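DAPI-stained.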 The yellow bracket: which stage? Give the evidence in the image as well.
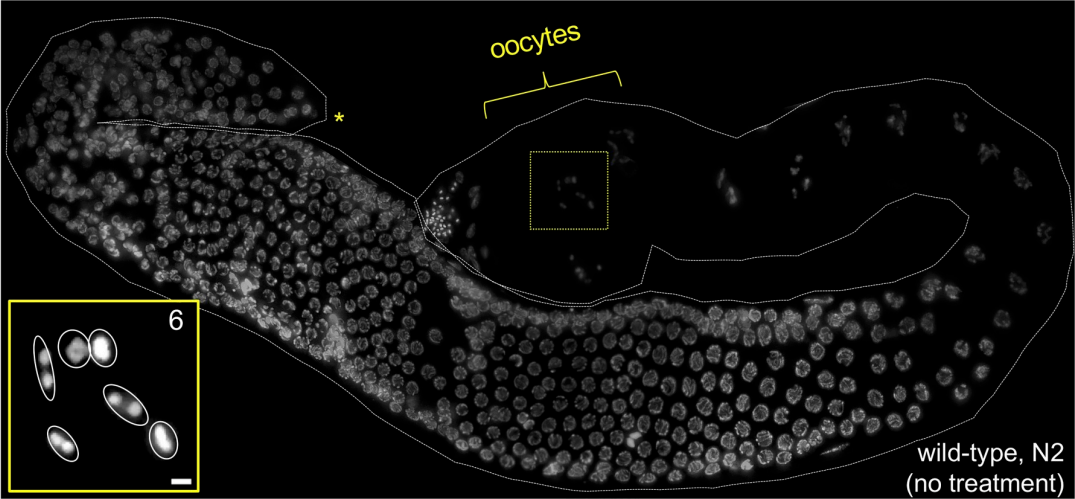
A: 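Late-diakinesis stage of prophase I. Under the bracket the nuclei are few, widely spaced and large. Their chromatin is condensed into a few small separate bright bodies.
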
